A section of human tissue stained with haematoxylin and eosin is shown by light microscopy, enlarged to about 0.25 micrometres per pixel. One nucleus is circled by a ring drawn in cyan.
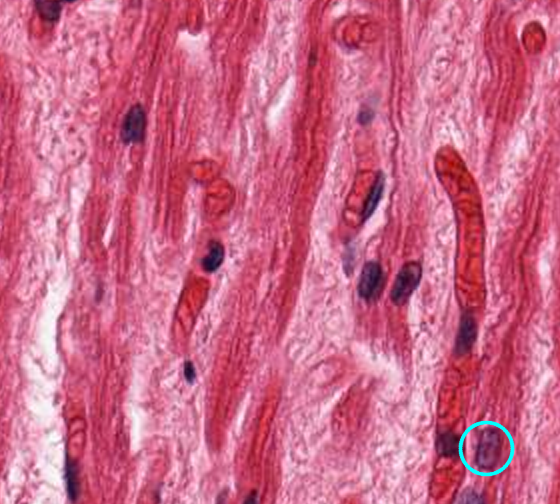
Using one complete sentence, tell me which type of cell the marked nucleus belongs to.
The cell that the marked nucleus belongs to is a cardiomyocyte.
